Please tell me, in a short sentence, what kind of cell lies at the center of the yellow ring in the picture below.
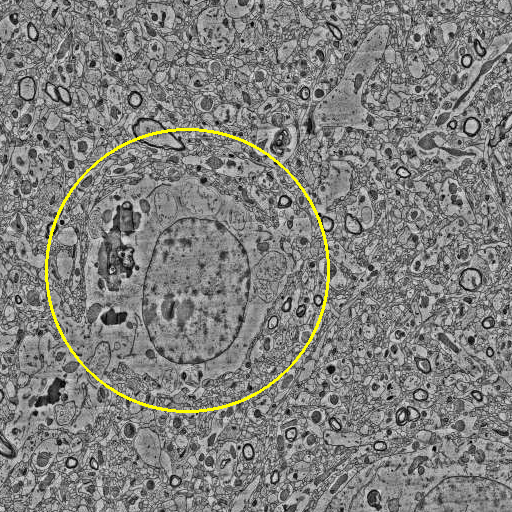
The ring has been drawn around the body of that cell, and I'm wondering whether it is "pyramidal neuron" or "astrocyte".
The cell at the center of the ring is an astrocyte.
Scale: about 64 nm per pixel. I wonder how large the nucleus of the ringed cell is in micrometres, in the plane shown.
In this plane the nucleus is about 9 micrometres by 7.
